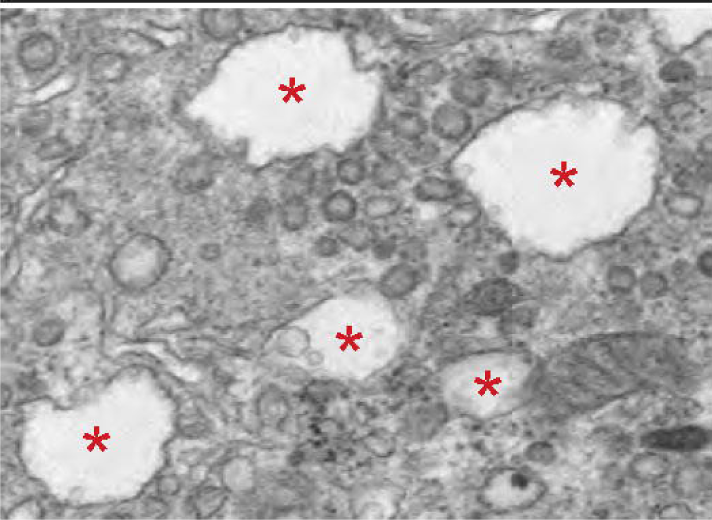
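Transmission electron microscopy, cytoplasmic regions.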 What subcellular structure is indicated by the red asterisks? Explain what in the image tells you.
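Each asterisk sits in a large, very pale, membrane-bounded compartment. The compartments are much larger than the surrounding small round vesicles.
Large vacuoles.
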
